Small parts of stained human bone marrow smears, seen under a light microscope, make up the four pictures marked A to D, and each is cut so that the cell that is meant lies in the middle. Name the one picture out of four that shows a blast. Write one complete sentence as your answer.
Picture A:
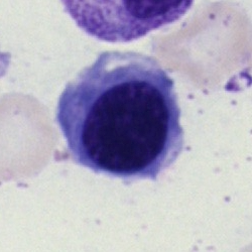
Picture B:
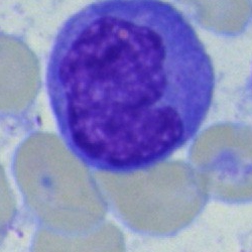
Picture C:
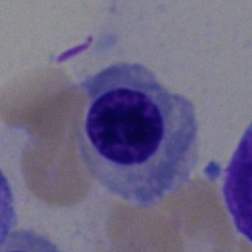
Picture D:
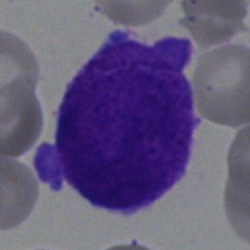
It is picture D that shows the blast.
